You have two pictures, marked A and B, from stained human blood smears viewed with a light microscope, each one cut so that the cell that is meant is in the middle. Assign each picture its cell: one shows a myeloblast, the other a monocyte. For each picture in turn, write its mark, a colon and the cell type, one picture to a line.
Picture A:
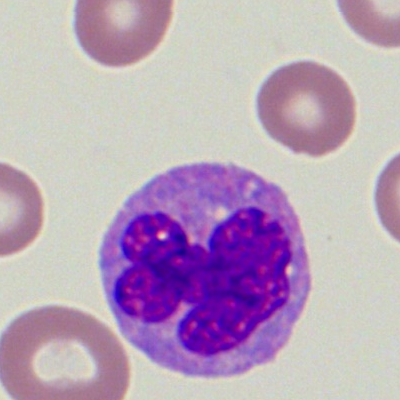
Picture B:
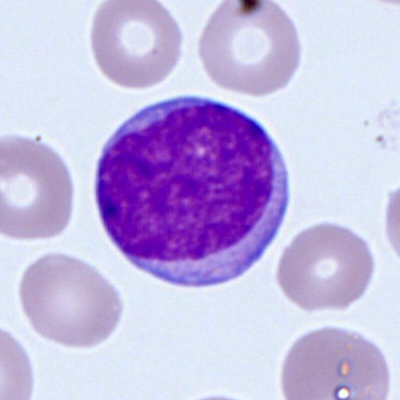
A: monocyte
B: myeloblast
